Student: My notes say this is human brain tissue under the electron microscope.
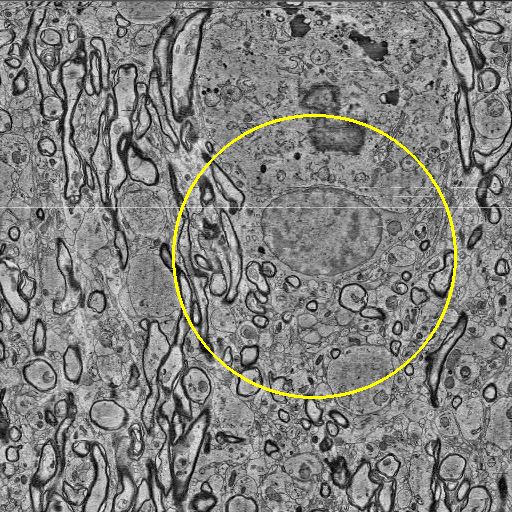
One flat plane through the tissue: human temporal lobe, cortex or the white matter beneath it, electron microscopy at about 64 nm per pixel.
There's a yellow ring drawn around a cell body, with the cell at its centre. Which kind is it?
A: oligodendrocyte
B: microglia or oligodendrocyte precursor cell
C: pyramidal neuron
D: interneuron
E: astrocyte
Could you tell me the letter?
A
